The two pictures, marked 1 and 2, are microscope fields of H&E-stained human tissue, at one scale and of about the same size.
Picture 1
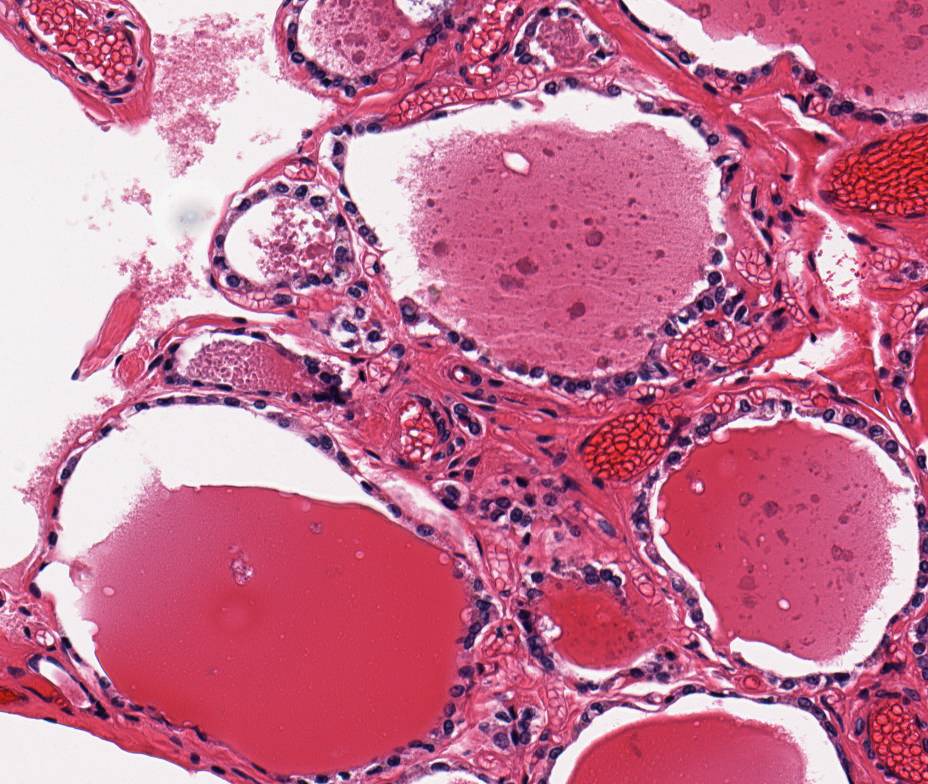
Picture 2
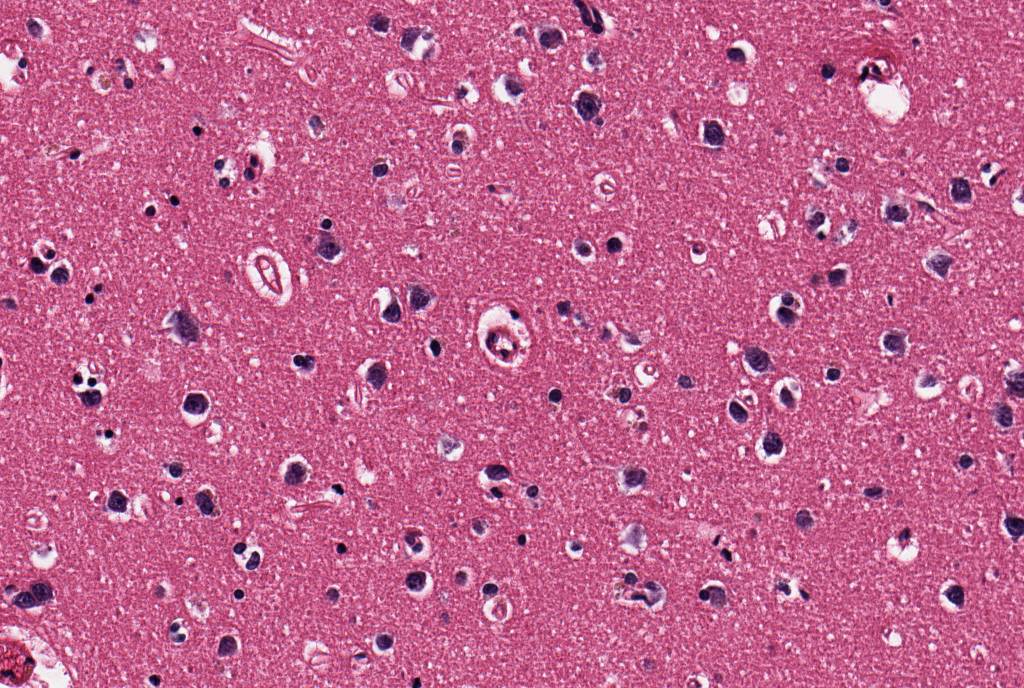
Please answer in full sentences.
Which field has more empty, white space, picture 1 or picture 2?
Picture 1 has more white space.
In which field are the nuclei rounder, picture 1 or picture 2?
Rounder nuclei lie in picture 2.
